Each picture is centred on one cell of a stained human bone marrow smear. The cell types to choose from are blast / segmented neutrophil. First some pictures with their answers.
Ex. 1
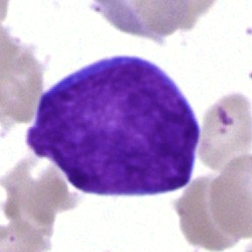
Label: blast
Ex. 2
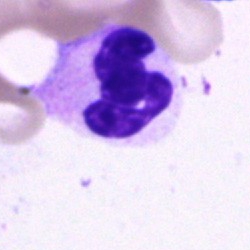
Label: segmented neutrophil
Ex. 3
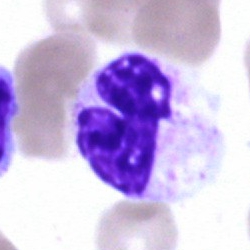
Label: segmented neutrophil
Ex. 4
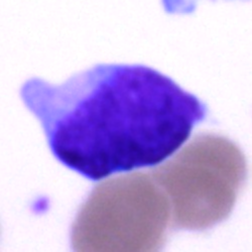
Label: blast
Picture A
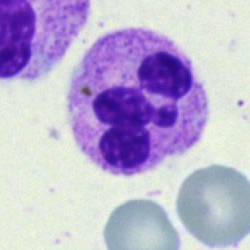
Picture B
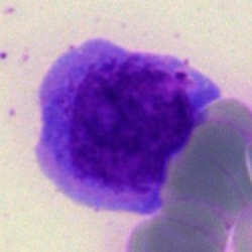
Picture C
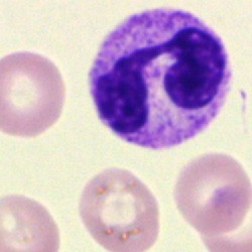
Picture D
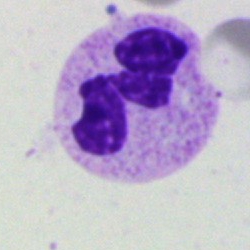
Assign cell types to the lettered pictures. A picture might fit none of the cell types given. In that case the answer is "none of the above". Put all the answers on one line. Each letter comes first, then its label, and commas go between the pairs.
A segmented neutrophil, B blast, C segmented neutrophil, D segmented neutrophil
